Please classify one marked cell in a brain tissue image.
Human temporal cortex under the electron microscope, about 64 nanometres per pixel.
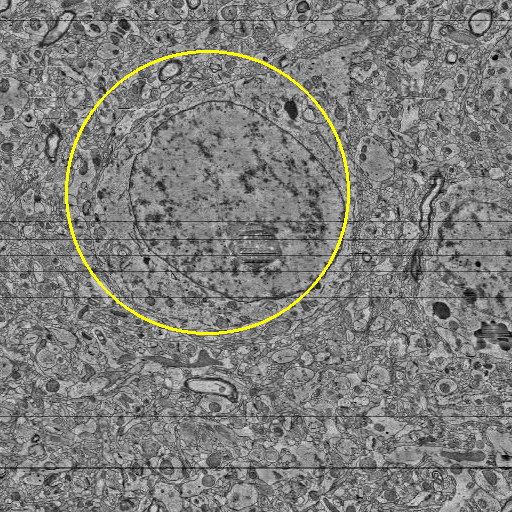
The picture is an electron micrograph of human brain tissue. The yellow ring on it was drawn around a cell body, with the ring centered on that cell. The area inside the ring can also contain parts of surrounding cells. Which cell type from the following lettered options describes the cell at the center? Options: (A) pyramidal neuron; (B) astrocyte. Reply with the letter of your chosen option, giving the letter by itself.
A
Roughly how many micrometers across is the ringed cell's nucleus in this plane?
Approximately 15 x 13 micrometres in this plane.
